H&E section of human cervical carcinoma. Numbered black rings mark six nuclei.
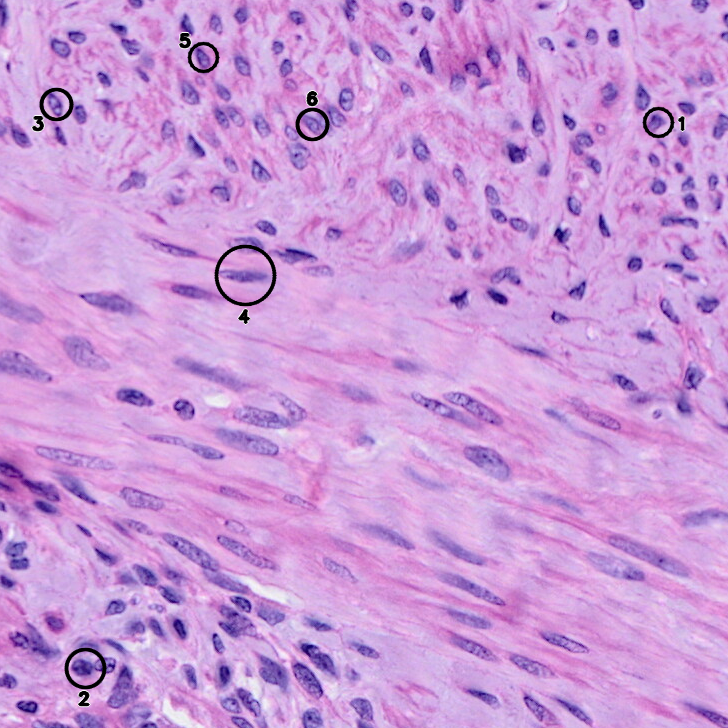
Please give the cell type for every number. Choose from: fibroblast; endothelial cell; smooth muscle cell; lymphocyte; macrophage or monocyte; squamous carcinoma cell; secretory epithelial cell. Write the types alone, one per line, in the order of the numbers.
smooth muscle cell
lymphocyte
smooth muscle cell
fibroblast
smooth muscle cell
smooth muscle cell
